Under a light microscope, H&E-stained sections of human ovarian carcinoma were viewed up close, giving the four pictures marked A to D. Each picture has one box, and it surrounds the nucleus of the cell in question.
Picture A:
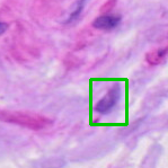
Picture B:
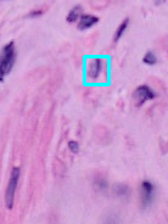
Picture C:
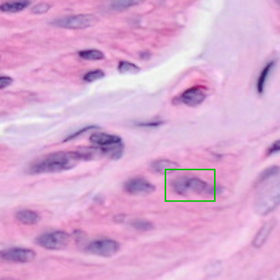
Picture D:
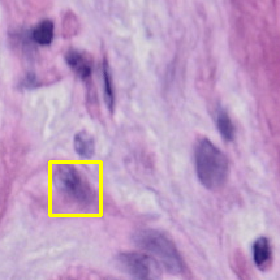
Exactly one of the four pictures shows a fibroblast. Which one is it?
A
